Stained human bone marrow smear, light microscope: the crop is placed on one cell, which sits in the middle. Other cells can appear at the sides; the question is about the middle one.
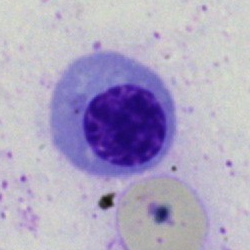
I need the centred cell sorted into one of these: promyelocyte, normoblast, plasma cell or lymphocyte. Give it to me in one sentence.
In short, the cell at the center is a normoblast.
